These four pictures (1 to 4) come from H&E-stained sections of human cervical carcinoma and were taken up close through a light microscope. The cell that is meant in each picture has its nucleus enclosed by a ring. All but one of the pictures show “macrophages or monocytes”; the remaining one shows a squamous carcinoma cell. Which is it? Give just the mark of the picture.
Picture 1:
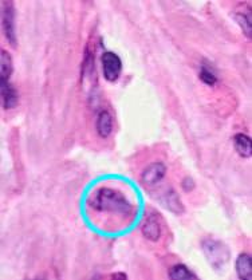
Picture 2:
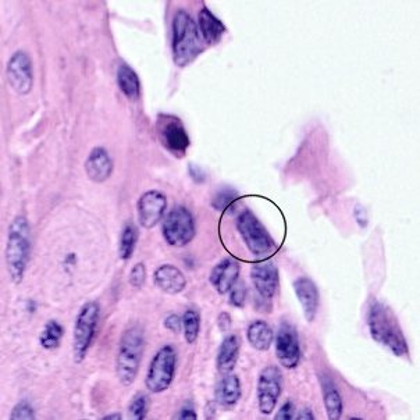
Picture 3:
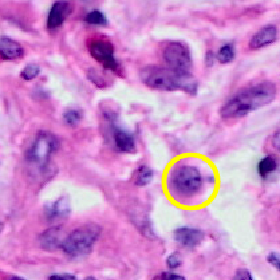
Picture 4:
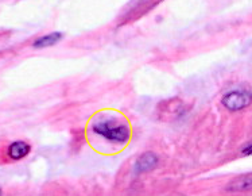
2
